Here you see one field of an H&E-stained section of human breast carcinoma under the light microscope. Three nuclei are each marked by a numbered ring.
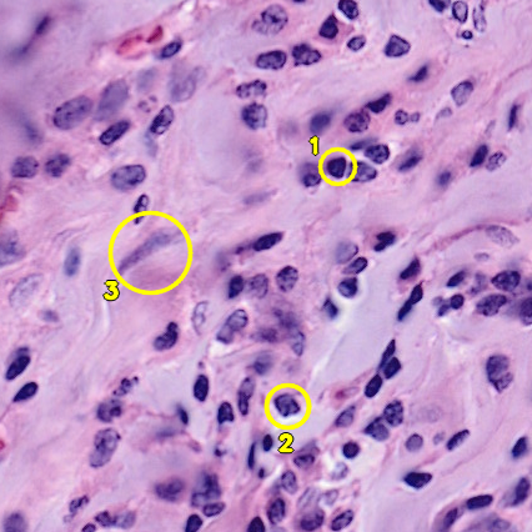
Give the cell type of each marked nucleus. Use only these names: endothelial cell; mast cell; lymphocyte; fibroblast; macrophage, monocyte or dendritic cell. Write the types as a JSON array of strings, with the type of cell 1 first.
["lymphocyte", "lymphocyte", "fibroblast"]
